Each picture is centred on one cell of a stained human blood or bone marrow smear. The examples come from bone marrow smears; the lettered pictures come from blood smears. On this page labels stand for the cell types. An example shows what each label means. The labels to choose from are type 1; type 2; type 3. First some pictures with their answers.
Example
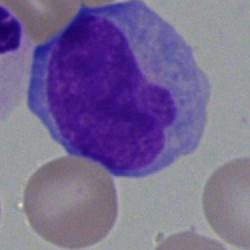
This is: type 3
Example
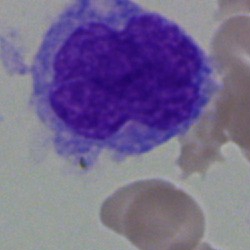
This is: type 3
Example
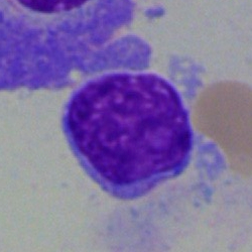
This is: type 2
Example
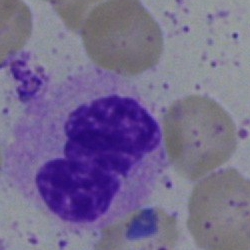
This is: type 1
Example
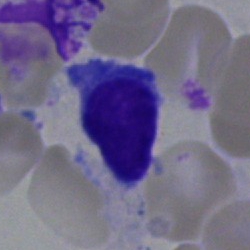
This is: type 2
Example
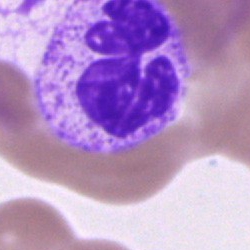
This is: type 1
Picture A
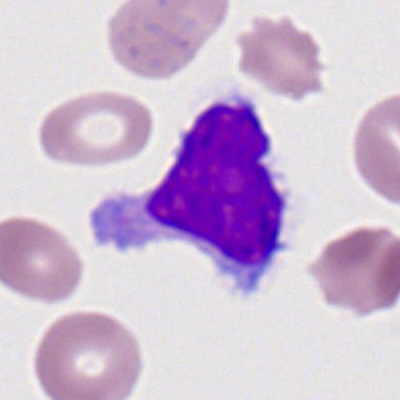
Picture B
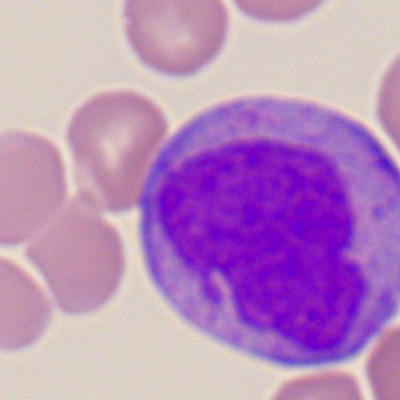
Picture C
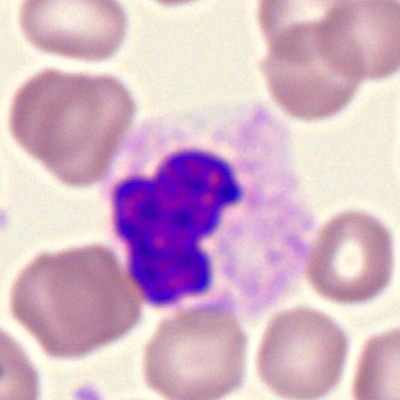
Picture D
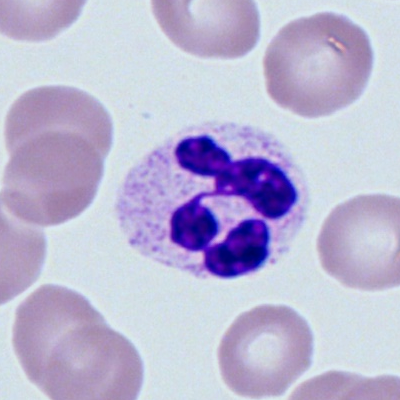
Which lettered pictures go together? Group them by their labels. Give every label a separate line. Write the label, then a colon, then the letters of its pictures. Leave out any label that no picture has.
type 1: C, D
type 2: A
type 3: B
